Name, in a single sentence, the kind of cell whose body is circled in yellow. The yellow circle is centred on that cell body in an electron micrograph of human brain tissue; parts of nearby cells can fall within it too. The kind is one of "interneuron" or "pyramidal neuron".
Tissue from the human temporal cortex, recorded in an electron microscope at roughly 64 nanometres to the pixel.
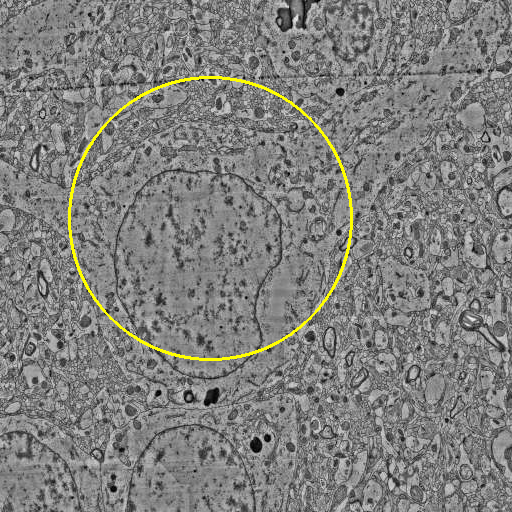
The circled cell body belongs to a pyramidal neuron.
